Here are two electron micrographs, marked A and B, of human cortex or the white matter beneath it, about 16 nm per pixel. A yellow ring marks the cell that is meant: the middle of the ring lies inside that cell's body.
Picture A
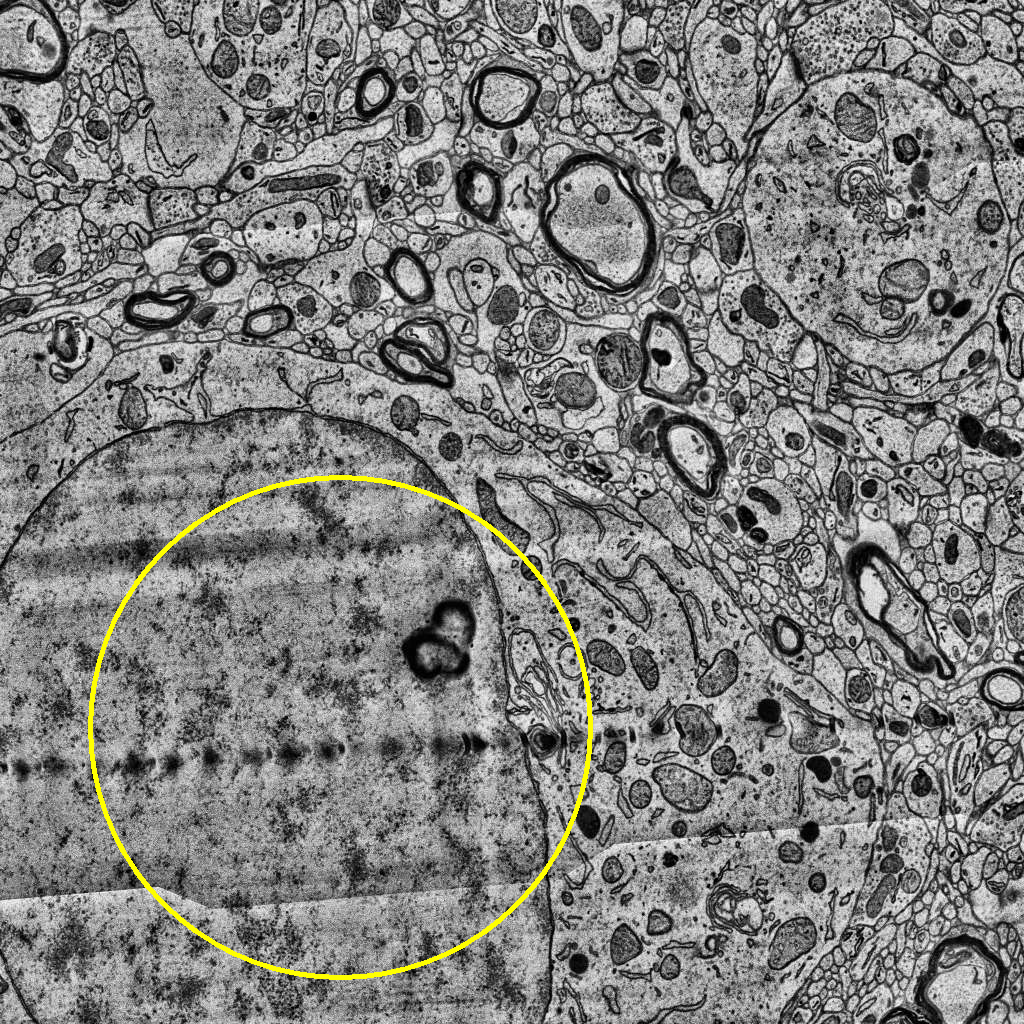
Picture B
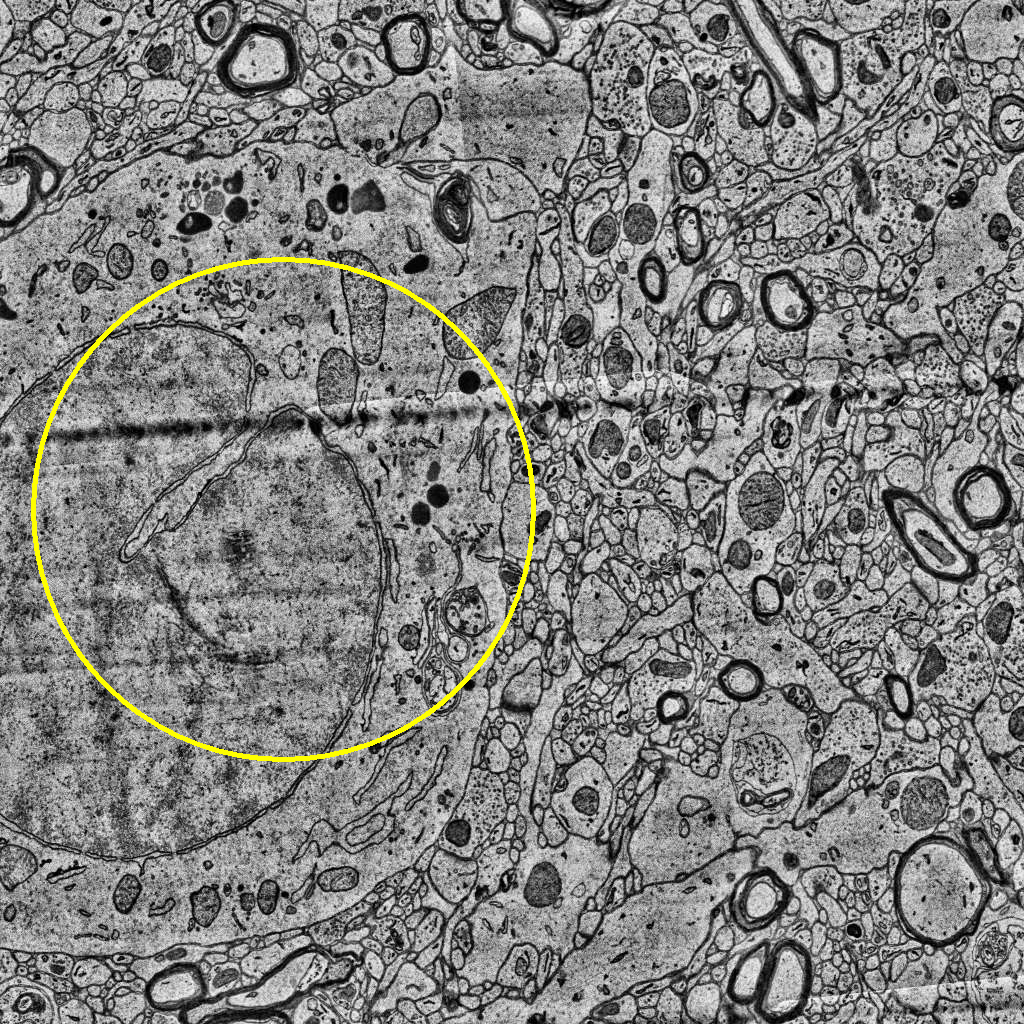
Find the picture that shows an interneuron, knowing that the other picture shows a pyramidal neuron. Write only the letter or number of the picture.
B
